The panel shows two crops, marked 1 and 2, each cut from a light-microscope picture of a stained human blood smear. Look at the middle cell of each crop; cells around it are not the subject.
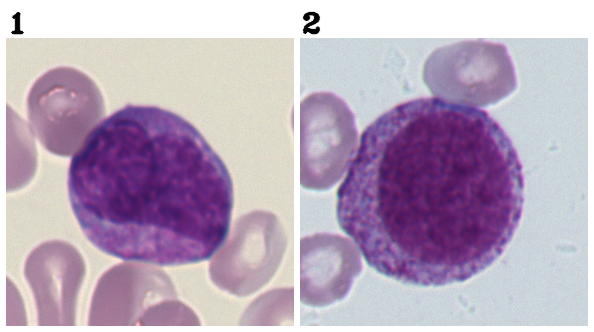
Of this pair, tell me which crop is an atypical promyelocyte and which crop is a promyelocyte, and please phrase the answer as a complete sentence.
As for the pair, crop 1 is an atypical promyelocyte and crop 2 is a promyelocyte.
